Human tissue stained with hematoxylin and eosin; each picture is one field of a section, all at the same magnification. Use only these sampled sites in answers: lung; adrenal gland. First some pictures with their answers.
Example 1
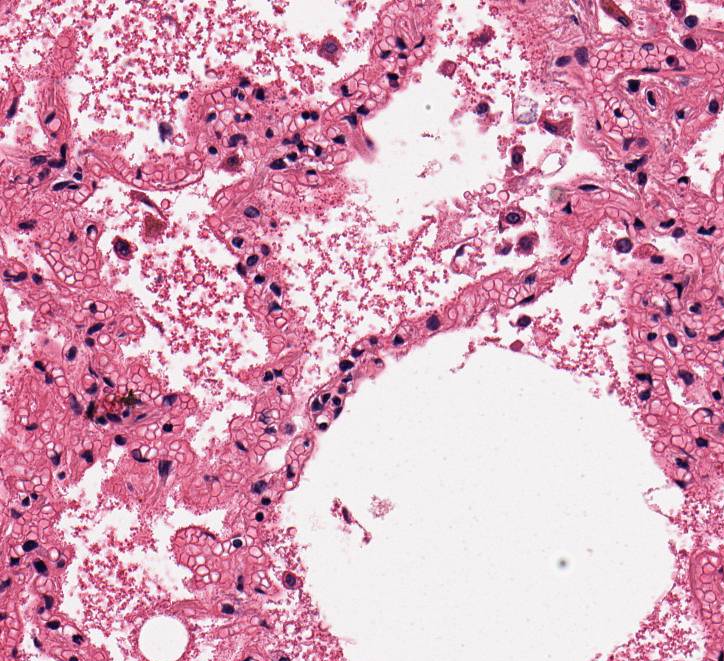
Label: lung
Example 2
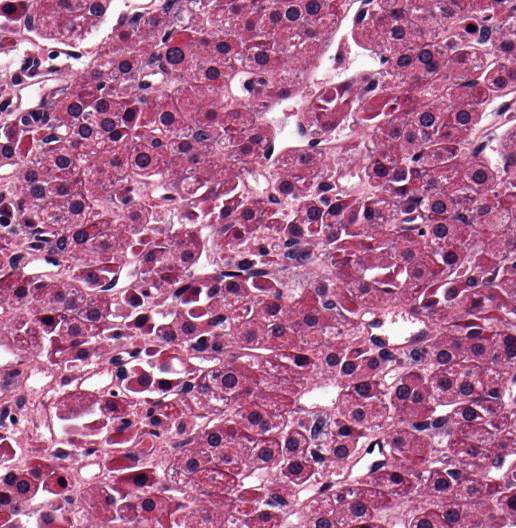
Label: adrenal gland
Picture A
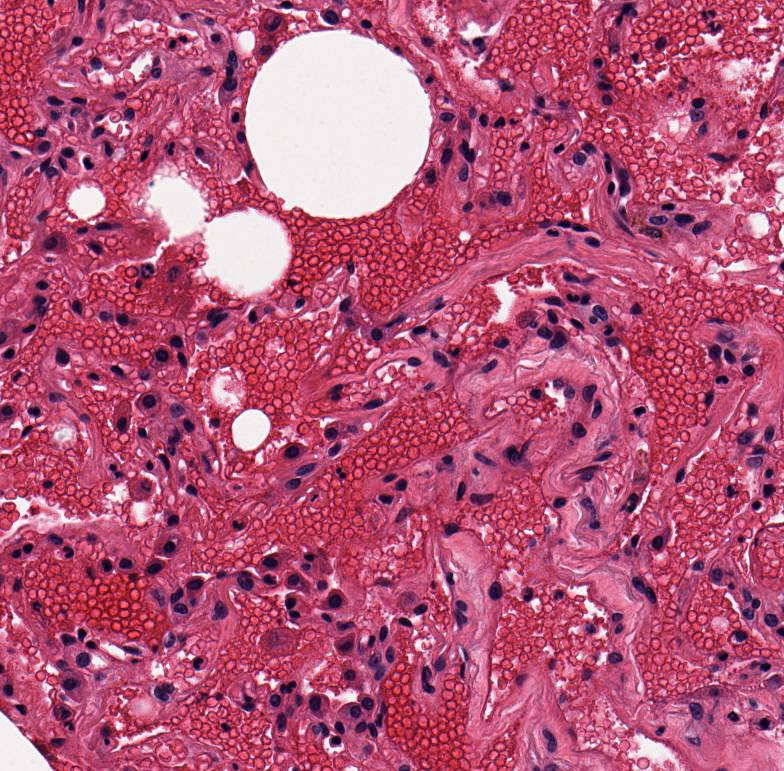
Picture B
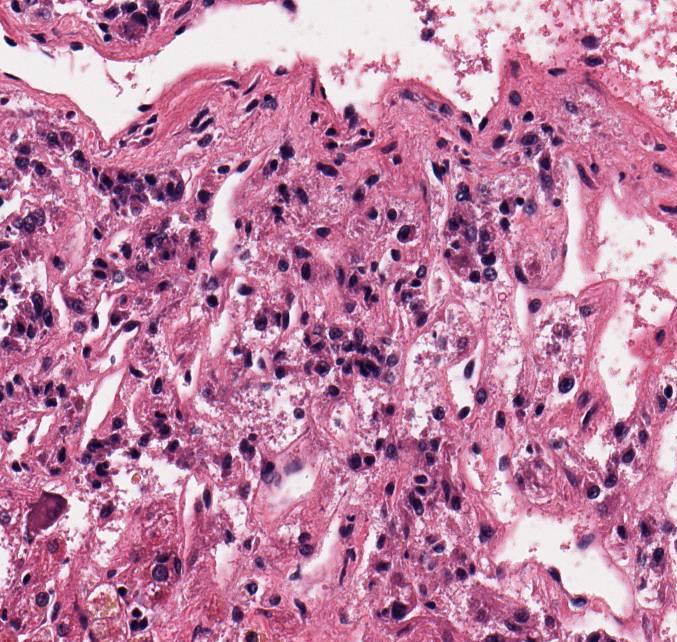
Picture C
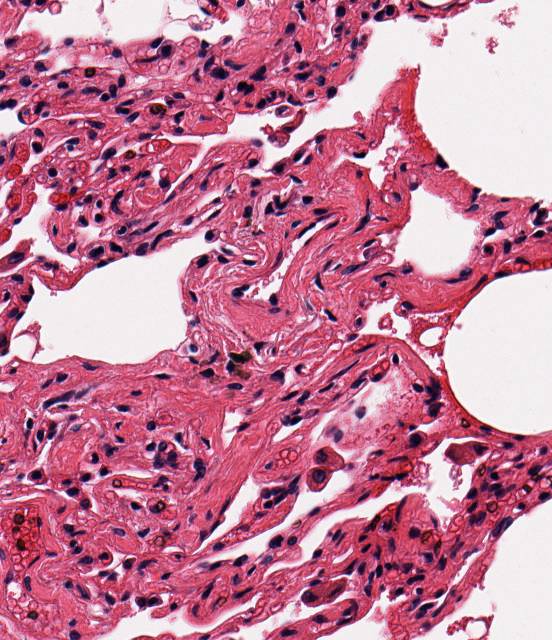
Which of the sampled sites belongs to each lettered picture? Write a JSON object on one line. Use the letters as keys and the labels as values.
{"A": "lung", "B": "adrenal gland", "C": "lung"}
